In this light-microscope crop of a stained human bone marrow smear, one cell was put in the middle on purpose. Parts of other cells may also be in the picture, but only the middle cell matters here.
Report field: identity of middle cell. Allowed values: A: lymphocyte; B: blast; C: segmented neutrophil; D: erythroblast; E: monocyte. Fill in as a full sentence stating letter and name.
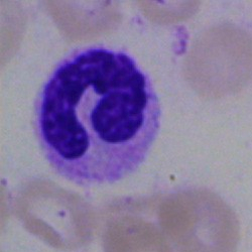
The right choice is option C: the cell in the middle is a segmented neutrophil.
